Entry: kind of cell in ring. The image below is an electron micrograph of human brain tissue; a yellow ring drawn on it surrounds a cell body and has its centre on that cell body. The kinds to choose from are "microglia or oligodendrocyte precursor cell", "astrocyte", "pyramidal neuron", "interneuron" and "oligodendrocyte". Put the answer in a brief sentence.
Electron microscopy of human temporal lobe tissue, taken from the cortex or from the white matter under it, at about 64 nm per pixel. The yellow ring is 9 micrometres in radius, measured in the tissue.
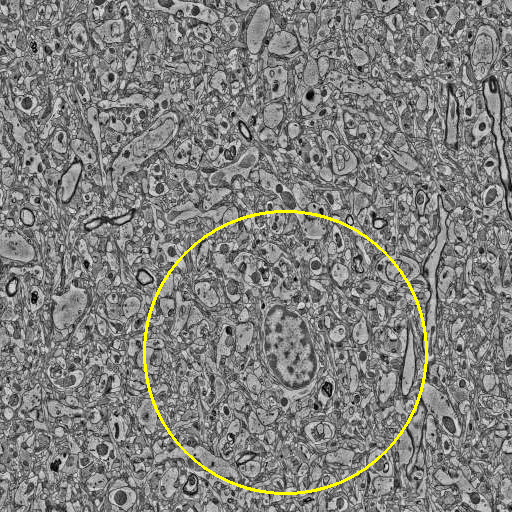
The ring has been drawn around a microglial cell or oligodendrocyte precursor cell.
